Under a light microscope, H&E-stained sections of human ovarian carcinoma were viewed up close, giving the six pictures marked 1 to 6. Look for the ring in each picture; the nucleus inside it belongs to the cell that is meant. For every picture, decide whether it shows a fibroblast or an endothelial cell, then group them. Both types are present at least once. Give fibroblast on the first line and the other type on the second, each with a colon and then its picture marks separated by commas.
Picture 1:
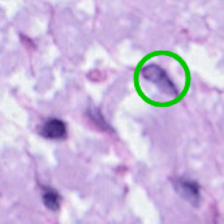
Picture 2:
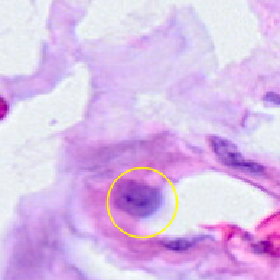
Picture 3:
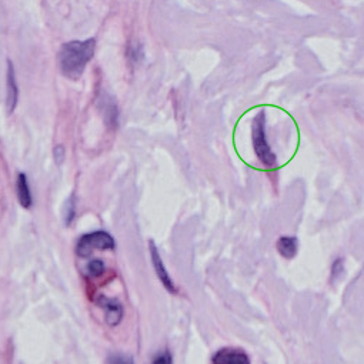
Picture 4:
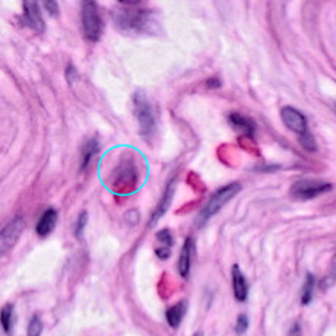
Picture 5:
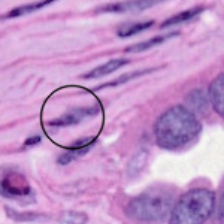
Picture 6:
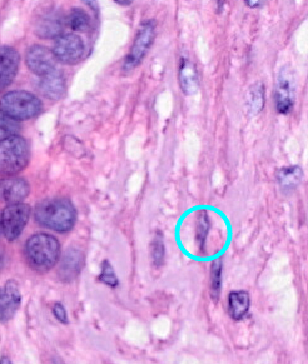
fibroblast: 1, 3, 5, 6
endothelial cell: 2, 4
